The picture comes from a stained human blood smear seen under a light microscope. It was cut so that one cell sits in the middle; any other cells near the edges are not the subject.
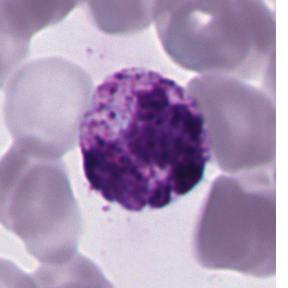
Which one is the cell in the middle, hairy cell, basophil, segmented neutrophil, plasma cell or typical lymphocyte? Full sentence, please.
What the crop centres on is a basophil.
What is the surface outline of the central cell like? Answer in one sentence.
The edge of the cell is broken up by ragged stretches or by outward projections.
